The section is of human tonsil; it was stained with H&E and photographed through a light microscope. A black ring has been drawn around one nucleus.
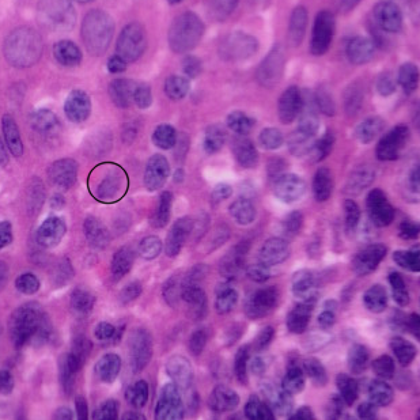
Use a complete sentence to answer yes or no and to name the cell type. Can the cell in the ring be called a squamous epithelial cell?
Yes, it is a squamous epithelial cell that the cell in the ring is.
